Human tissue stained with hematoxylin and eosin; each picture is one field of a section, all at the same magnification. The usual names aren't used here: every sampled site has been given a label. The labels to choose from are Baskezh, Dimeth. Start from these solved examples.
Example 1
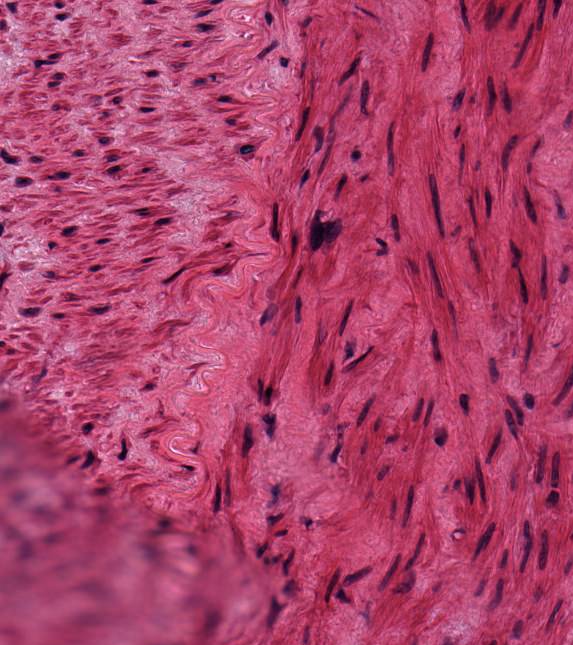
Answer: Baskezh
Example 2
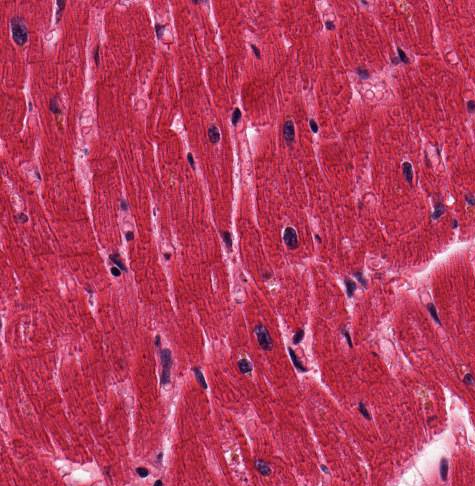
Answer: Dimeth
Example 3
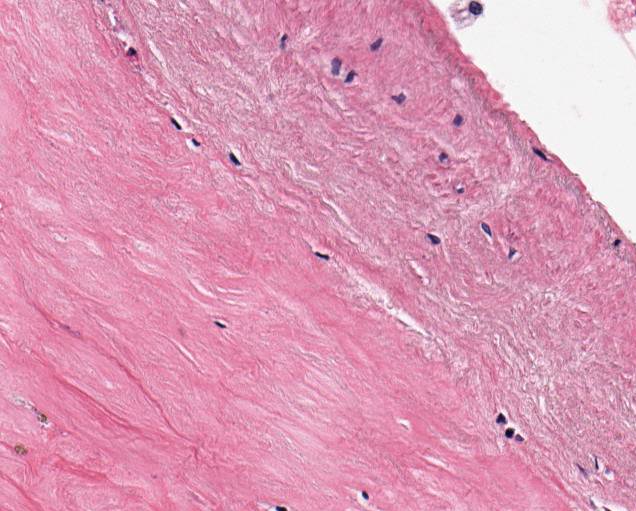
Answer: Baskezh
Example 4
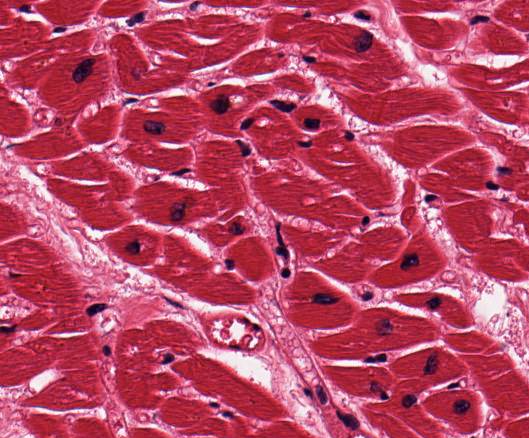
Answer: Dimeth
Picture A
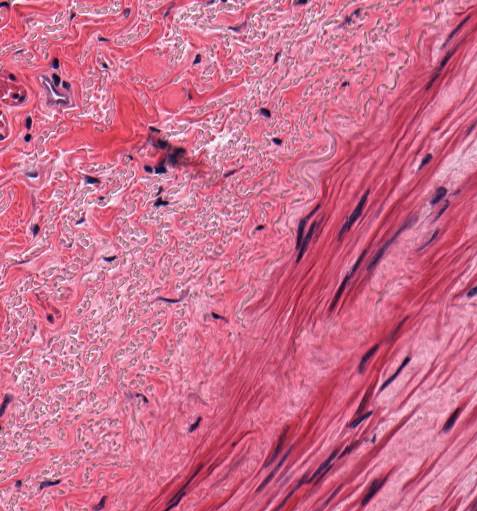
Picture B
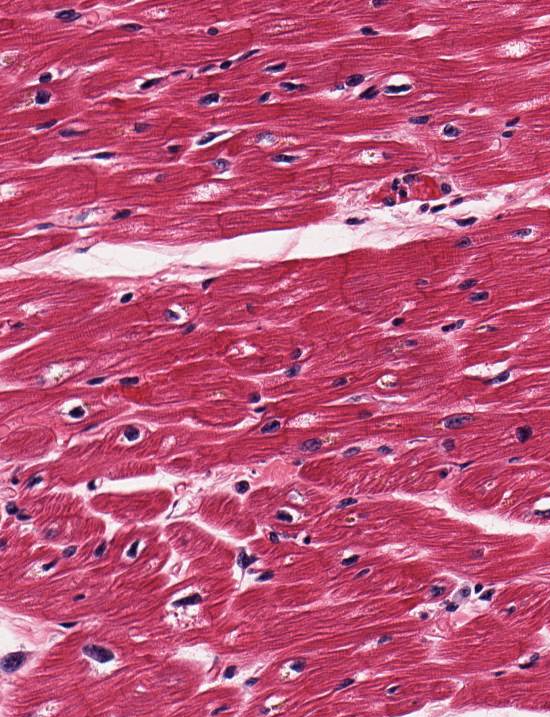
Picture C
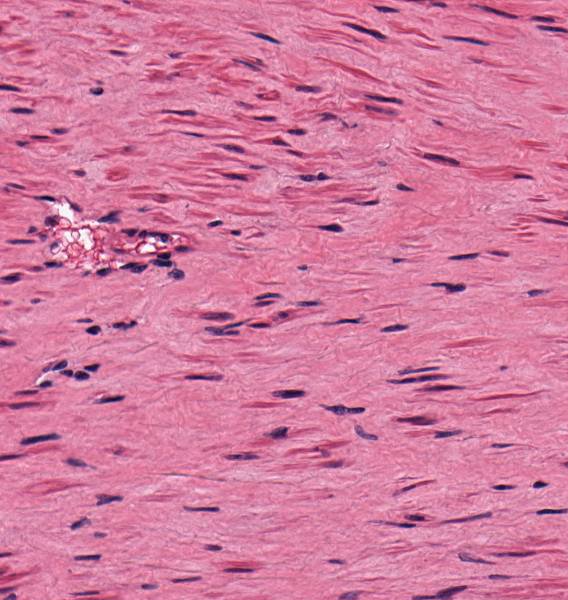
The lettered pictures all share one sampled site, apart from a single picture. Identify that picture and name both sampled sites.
B differs and shows Dimeth; the others show Baskezh.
